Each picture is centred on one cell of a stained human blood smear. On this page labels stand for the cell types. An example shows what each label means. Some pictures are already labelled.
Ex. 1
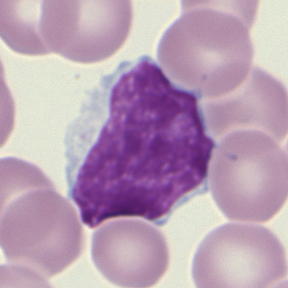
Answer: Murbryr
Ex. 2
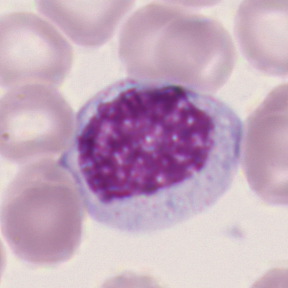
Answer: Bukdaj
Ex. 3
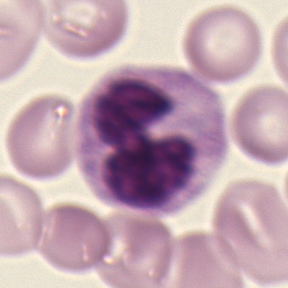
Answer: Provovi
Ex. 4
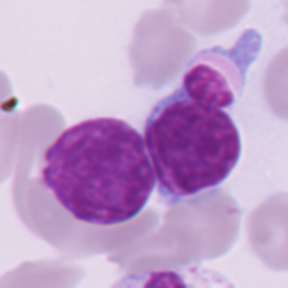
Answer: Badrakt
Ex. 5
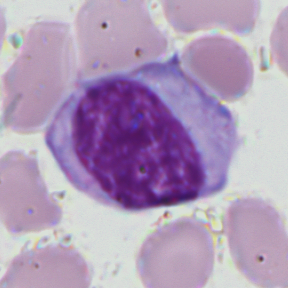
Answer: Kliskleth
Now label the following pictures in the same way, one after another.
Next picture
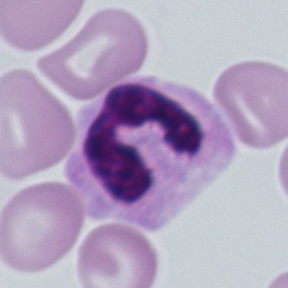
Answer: Provovi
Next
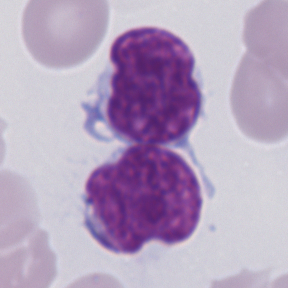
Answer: Badrakt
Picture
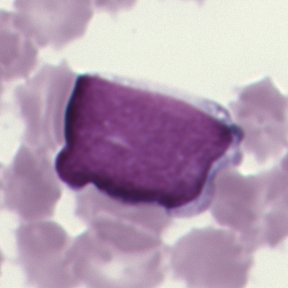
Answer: Badrakt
